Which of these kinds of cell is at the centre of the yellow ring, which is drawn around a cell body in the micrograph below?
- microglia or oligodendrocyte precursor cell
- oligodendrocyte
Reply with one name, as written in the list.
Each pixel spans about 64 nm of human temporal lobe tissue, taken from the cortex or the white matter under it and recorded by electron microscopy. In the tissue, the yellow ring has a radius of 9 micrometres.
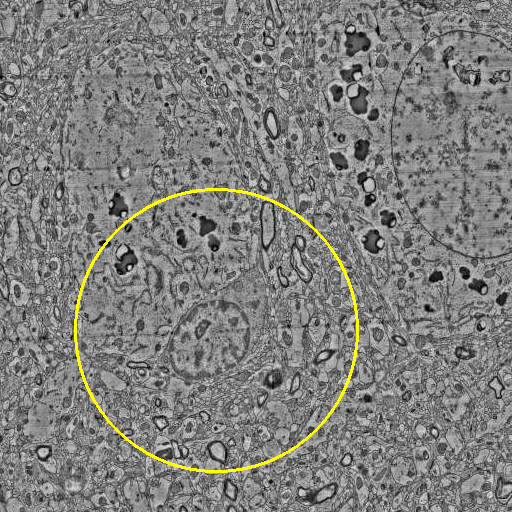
oligodendrocyte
